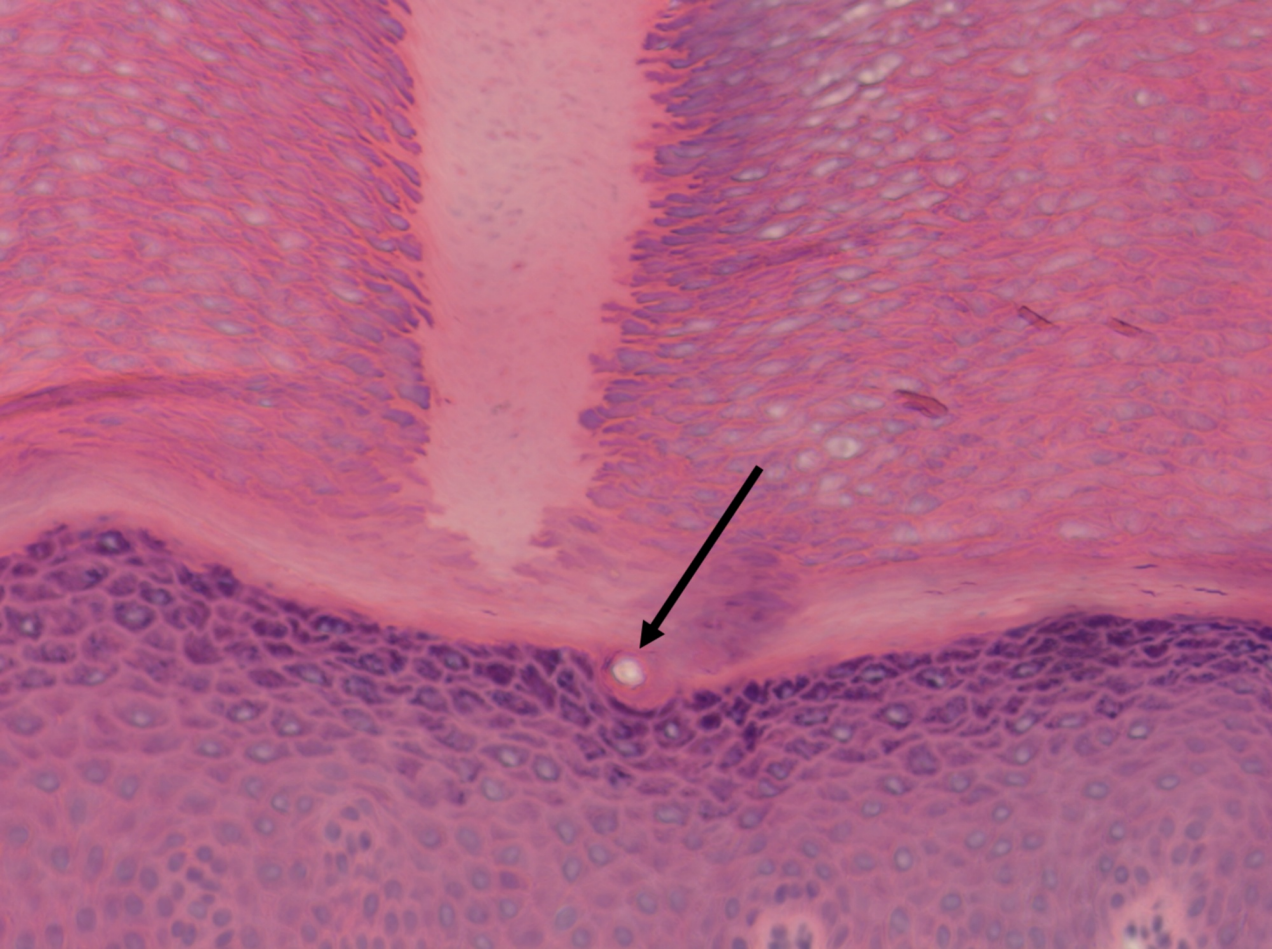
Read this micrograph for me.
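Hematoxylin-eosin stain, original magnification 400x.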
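Skin epidermis with a greatly thickened cornified layer traversed by a vertical column of compact, pale pink keratin, the spine, whose base sits on the epidermal surface. The cornified layer on either side is laminated, pink to lilac, and holds many flattened retained nuclei and small clear spaces. Below, the granular layer forms a dark purple band of cells with coarse basophilic granules, over squamous cells with round nuclei and pale pink cytoplasm. The epidermal surface beneath the column dips only slightly and does not form a pit. A small round duct lumen with pale contents lies in the granular layer beside the column's base, separate from it.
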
